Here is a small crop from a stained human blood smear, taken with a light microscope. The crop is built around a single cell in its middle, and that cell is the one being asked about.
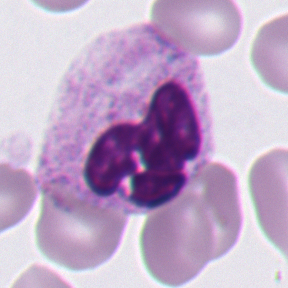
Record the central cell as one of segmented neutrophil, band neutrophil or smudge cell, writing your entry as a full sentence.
The cell marked by its central position in the crop is a segmented neutrophil.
